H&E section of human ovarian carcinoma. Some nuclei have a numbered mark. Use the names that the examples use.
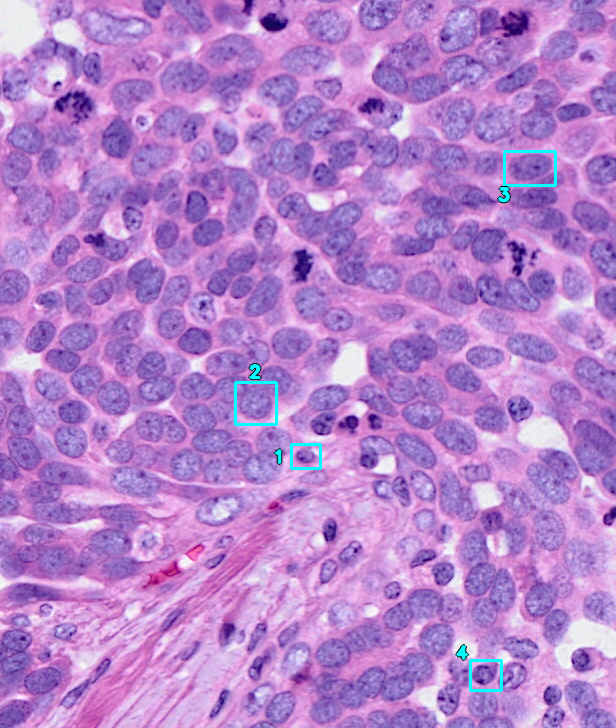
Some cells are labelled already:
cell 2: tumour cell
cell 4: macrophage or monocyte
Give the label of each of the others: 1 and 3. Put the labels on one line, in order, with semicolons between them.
macrophage or monocyte; tumour cell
